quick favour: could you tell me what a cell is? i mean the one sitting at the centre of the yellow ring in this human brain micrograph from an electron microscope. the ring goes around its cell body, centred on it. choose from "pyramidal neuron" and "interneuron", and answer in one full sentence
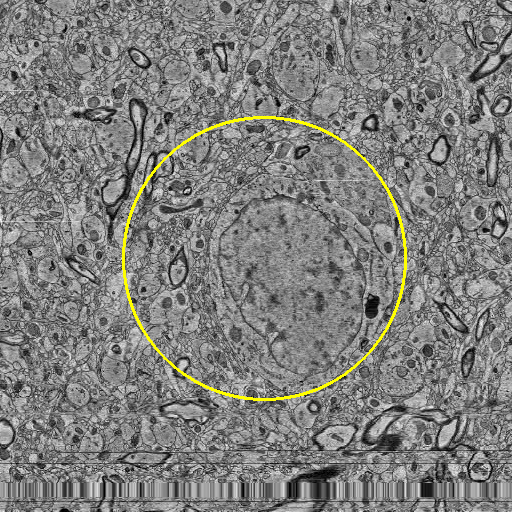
That's an interneuron, the cell sitting at the centre of the yellow ring.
